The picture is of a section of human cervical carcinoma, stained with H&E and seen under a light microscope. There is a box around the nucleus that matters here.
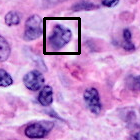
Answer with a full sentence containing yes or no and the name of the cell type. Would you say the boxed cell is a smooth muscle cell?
No, it is a lymphocyte that the boxed cell is, rather than a smooth muscle cell.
